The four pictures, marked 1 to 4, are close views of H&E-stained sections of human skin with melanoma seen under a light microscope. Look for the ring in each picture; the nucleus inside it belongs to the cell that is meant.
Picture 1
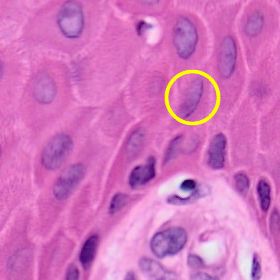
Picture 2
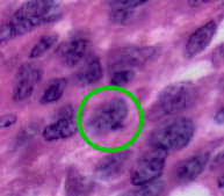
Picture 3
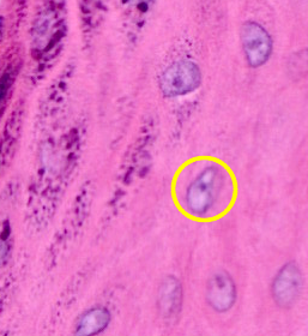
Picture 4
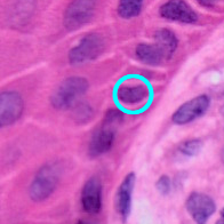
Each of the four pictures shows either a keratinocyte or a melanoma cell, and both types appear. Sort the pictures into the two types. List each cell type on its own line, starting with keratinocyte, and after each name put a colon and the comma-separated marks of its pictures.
keratinocyte: 1, 3, 4
melanoma cell: 2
